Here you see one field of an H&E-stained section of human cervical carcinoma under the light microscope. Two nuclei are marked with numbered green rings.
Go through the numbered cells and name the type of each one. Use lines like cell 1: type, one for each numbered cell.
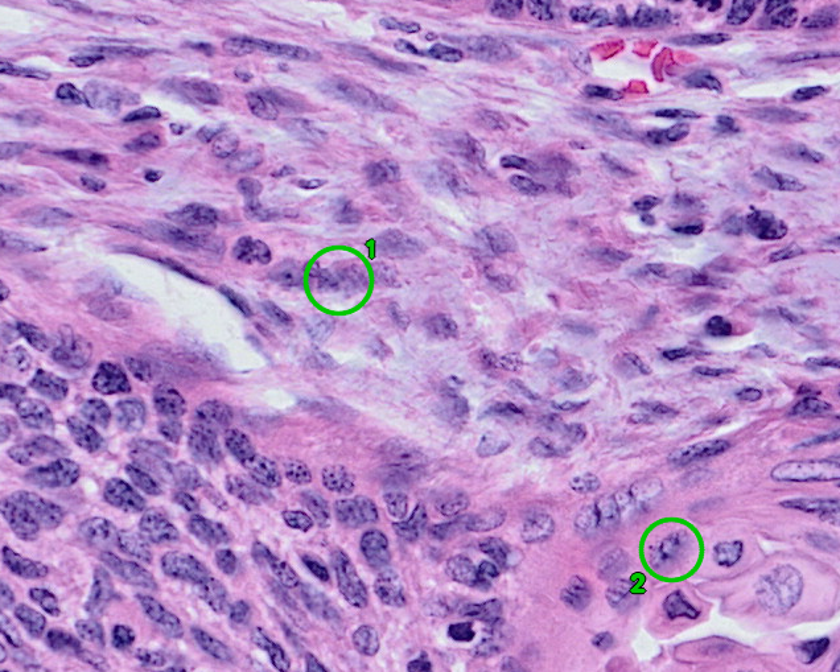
cell 1: fibroblast
cell 2: squamous carcinoma cell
